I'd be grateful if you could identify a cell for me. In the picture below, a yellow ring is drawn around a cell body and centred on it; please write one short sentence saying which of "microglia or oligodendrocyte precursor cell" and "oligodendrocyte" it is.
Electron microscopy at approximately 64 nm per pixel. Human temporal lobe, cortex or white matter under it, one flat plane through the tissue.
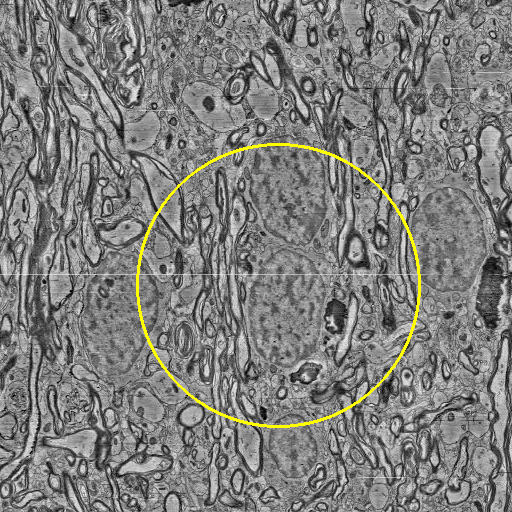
The cell under the ring's centre is an oligodendrocyte.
